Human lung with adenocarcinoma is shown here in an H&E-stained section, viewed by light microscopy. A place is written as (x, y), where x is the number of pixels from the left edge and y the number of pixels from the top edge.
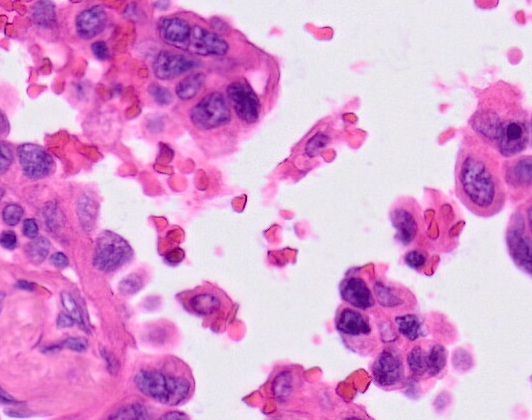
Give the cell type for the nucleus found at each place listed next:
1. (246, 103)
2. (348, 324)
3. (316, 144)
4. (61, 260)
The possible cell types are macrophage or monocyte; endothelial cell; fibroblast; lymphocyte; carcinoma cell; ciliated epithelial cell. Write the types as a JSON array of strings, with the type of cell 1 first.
["carcinoma cell", "carcinoma cell", "macrophage or monocyte", "lymphocyte"]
